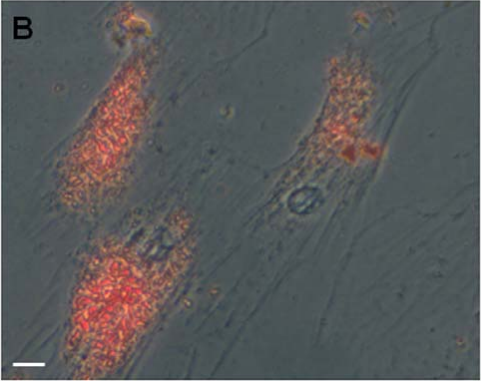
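The cells are elongated and lie flat on the dish, and their outlines and faint oval nuclei can be followed in the grey background. The red material is broken up into many small round droplets packed into clusters within the cell bodies rather than a single large drop. Some neighbouring elongated cells carry little or no red stain.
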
